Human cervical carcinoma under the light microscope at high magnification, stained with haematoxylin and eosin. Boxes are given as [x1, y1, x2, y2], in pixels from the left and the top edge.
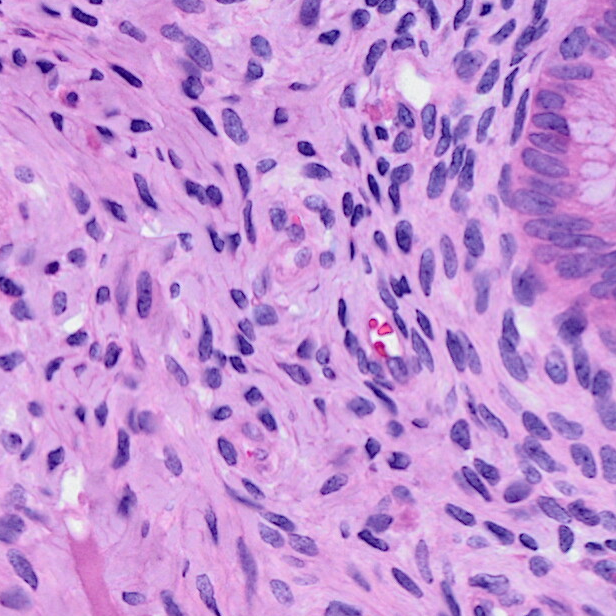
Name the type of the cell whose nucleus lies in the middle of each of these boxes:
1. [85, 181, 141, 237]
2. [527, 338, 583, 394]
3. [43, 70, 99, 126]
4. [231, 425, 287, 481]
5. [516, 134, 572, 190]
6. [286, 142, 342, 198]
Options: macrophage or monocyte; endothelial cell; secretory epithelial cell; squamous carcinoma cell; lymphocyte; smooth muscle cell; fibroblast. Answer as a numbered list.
1. fibroblast
2. endothelial cell
3. smooth muscle cell
4. endothelial cell
5. secretory epithelial cell
6. fibroblast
